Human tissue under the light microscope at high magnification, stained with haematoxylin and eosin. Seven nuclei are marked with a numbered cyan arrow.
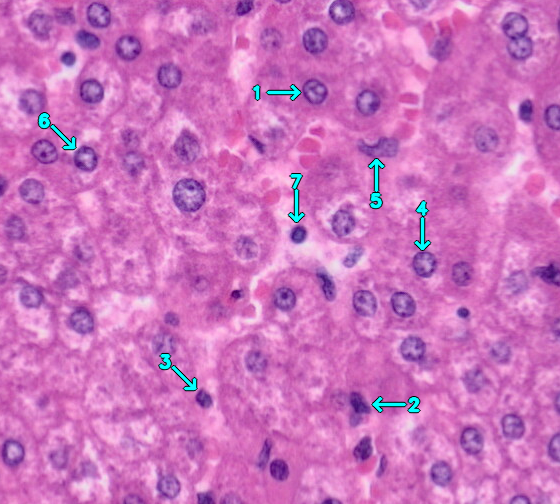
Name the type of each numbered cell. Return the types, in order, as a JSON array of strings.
["hepatocyte", "fibroblast or stellate cell", "lymphocyte", "hepatocyte", "Kupffer cell", "hepatocyte", "lymphocyte"]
